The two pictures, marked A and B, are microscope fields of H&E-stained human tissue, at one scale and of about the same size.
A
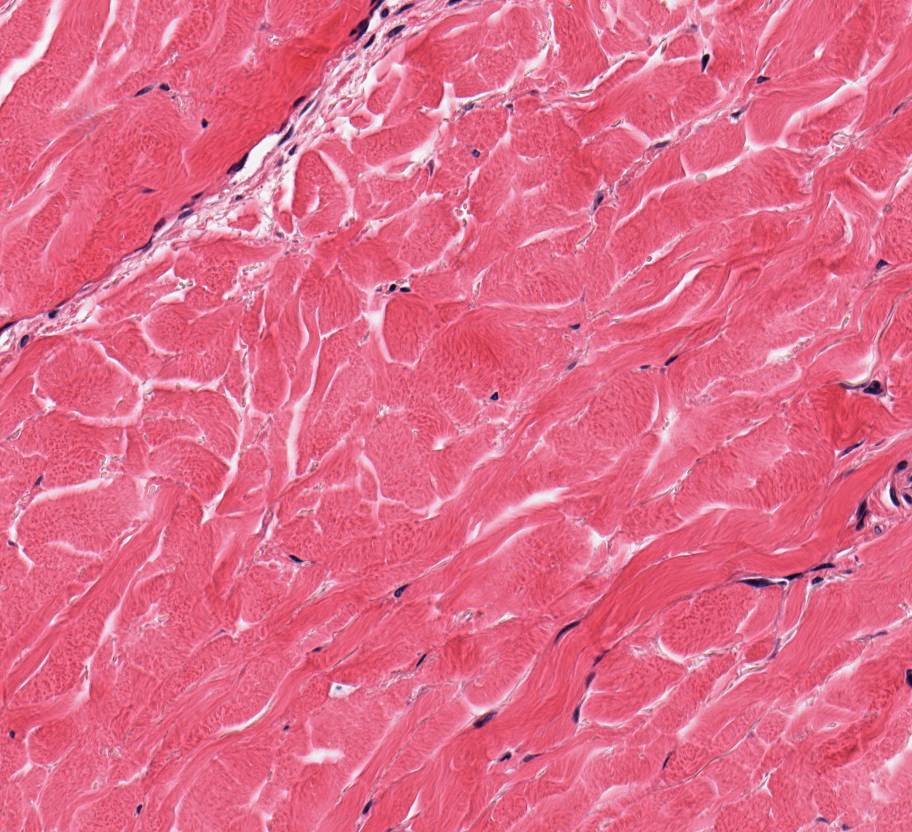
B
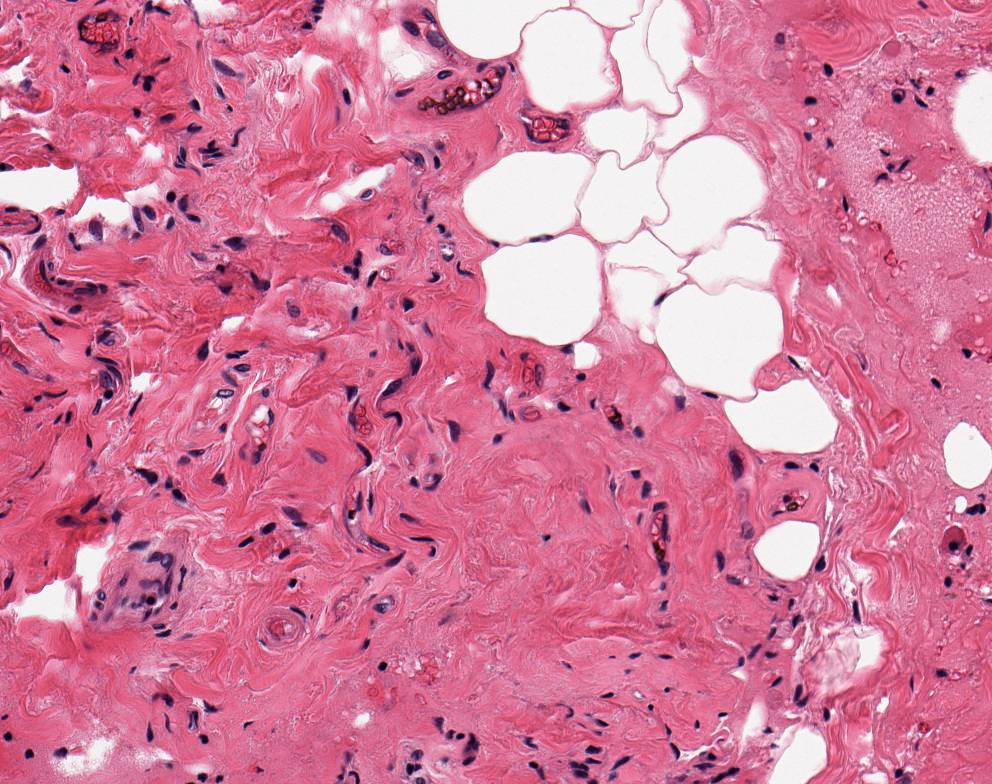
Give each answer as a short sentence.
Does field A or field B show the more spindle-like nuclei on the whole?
On the whole the nuclei of field A are more drawn out than those of field B.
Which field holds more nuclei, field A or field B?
It is field B that has more nuclei in it.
